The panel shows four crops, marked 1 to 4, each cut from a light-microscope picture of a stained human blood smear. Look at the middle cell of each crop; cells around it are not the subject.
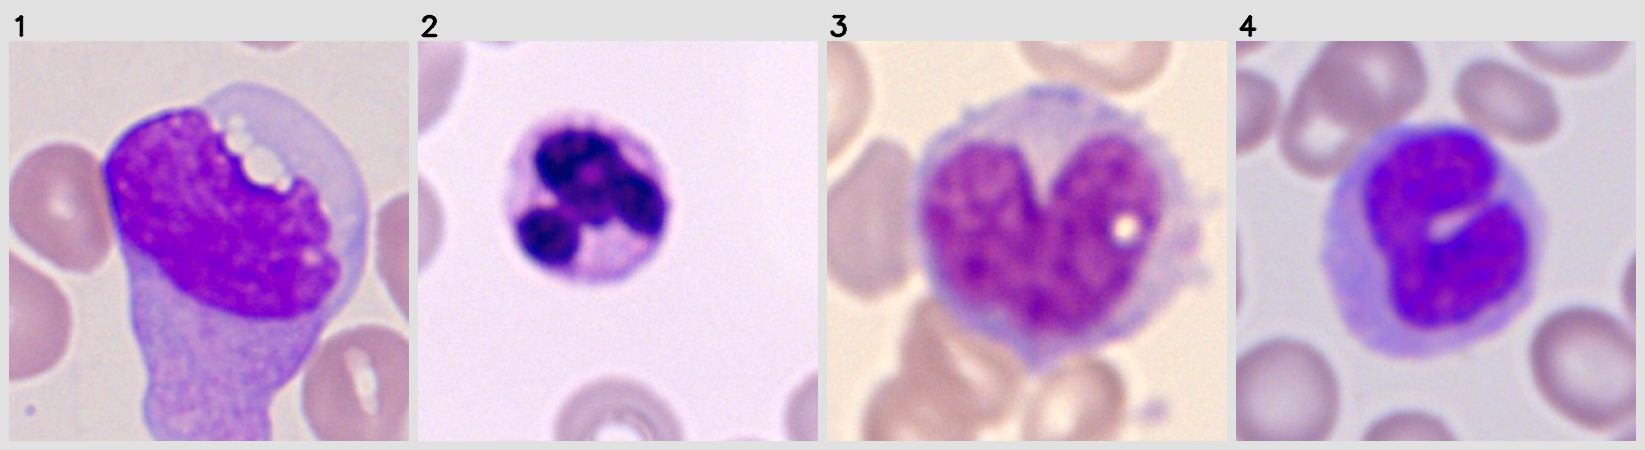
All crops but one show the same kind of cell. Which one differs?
2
